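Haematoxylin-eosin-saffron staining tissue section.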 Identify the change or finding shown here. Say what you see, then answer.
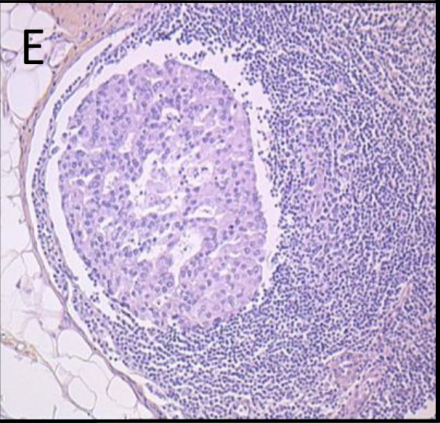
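Lymph node metastasis. A rounded nest of large pink epithelial cells sits inside a space surrounded by densely packed small dark lymphocytes. Fat cells lie at the edge of the lymphoid tissue, beyond a thin capsule.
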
